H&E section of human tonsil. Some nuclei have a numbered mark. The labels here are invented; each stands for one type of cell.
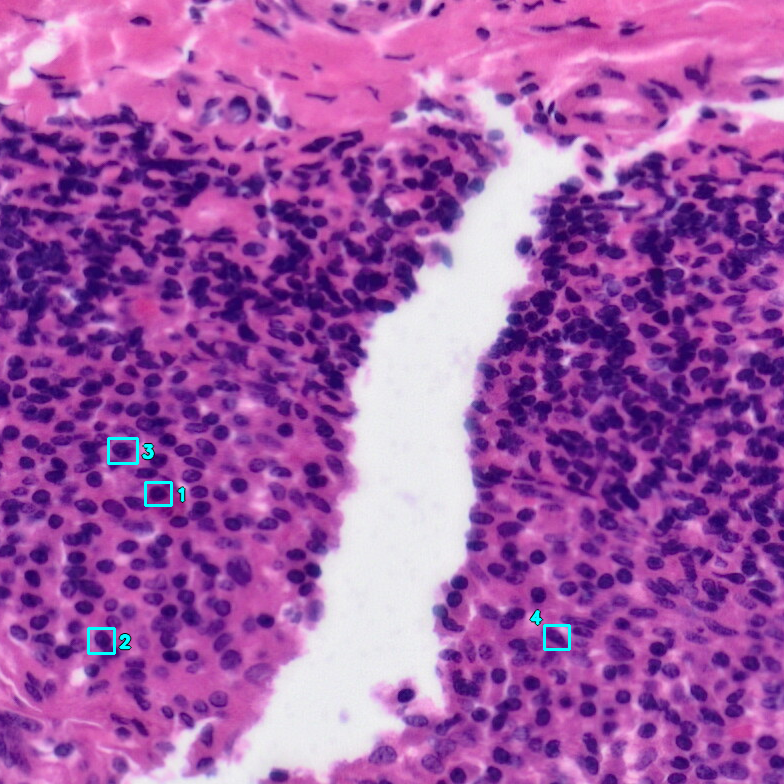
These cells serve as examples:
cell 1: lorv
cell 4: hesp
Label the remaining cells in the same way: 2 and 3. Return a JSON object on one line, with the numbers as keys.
{"2": "lorv", "3": "lorv"}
